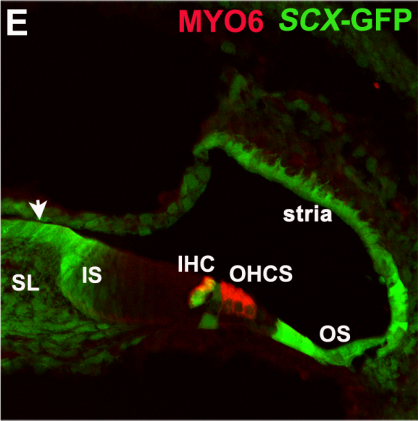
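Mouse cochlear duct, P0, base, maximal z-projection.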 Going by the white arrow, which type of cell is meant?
developing interdental cells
